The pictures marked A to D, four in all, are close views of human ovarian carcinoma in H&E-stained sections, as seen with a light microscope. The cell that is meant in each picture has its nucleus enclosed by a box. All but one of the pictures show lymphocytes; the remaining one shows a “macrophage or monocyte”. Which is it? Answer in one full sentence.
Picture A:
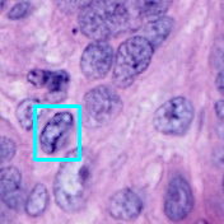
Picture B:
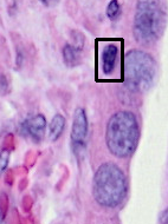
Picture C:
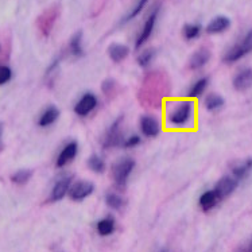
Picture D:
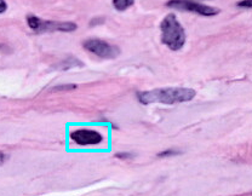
Picture A is the one that shows the “macrophage or monocyte”.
